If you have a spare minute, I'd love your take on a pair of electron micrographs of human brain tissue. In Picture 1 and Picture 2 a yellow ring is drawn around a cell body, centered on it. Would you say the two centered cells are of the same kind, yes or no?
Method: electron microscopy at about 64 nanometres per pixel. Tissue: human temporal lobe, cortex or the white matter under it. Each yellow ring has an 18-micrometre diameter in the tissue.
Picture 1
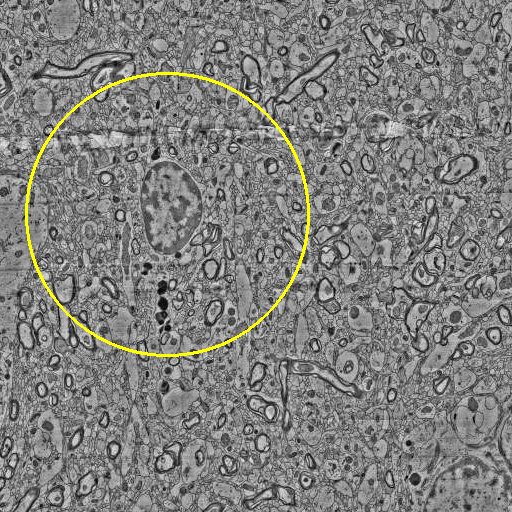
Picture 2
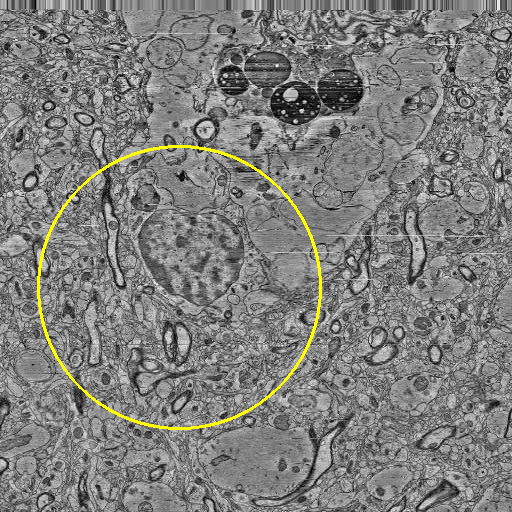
yes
